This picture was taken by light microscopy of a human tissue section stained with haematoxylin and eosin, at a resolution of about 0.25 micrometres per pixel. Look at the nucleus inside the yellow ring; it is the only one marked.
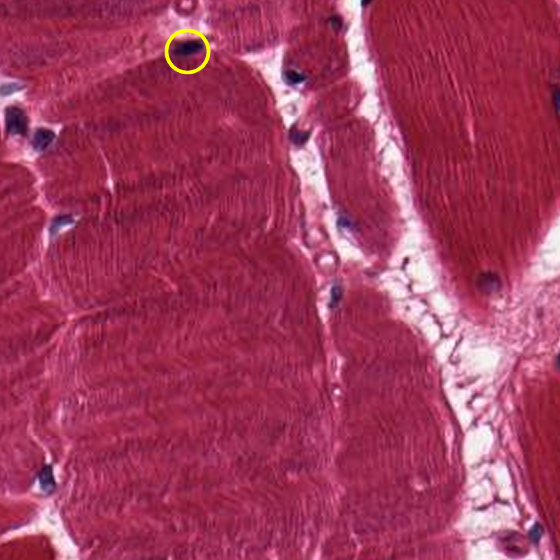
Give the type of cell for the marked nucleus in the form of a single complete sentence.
Here it is a skeletal muscle fibre that the marked nucleus belongs to.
